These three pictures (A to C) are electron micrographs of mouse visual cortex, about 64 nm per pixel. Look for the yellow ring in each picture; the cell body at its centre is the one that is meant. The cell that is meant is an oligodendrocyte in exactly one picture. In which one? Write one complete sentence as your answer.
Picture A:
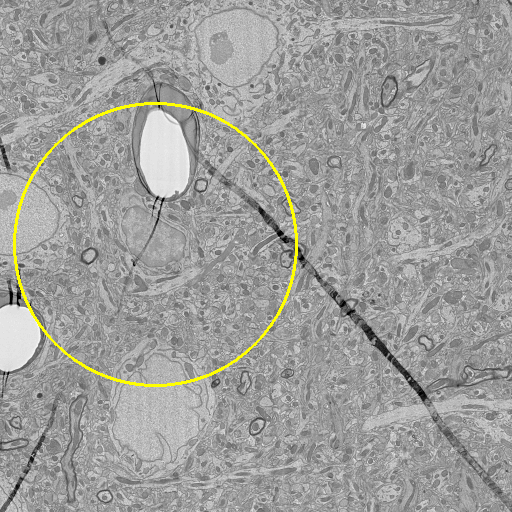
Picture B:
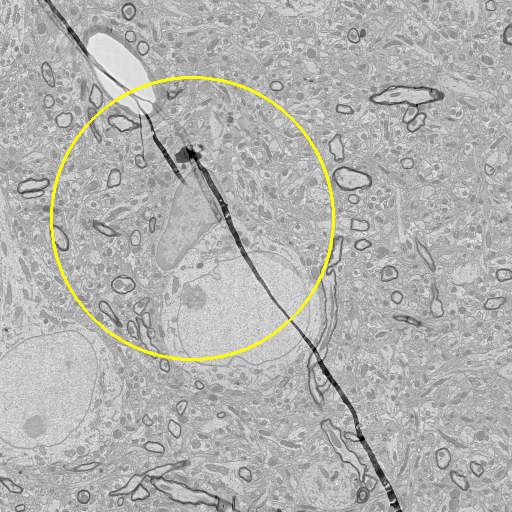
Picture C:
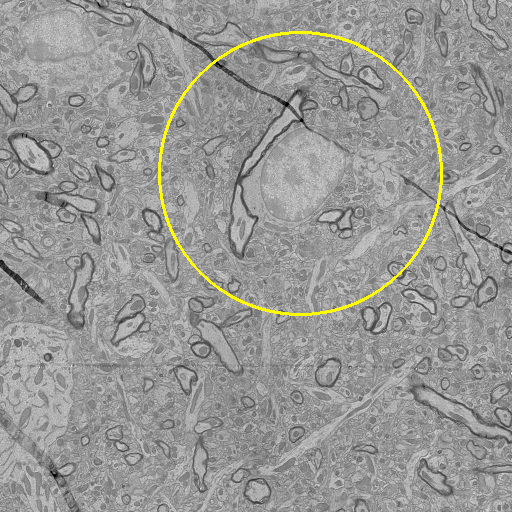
Picture C is the one that shows the oligodendrocyte.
